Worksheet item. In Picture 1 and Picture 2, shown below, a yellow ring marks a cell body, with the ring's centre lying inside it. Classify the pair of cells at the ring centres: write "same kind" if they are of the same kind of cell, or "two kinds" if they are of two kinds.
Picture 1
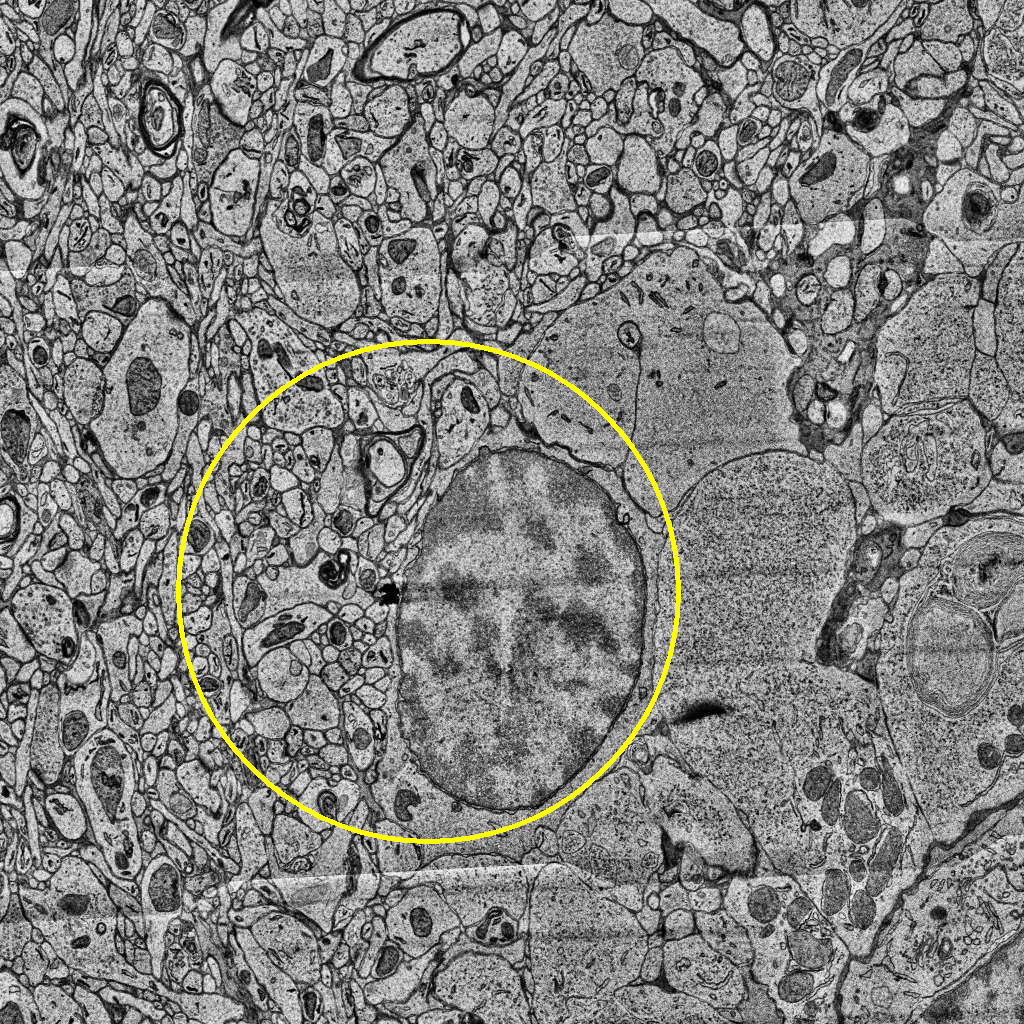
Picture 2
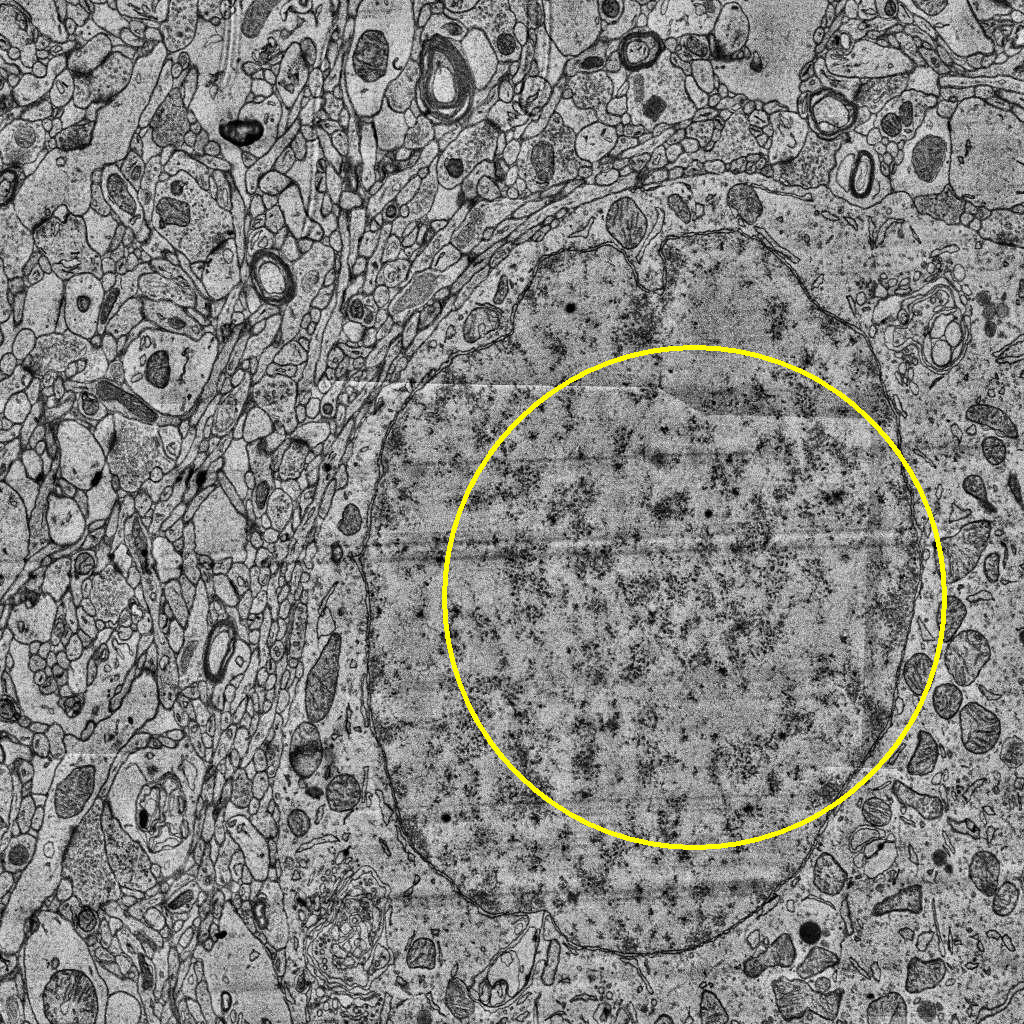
two kinds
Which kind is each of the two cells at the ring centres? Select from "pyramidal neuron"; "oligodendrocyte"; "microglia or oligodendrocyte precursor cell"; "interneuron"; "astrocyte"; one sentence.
For the first picture it is an oligodendrocyte; for the second, an interneuron.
